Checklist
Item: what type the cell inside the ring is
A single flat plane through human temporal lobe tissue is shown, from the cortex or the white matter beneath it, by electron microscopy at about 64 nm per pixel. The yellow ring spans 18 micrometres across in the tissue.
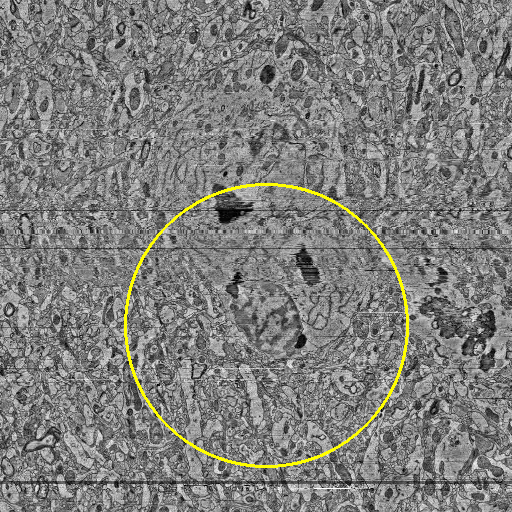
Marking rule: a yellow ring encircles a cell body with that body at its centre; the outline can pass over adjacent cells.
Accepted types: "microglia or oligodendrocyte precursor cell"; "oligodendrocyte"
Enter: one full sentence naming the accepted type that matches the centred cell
The entry is that an oligodendrocyte lies at the centre of the yellow ring.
